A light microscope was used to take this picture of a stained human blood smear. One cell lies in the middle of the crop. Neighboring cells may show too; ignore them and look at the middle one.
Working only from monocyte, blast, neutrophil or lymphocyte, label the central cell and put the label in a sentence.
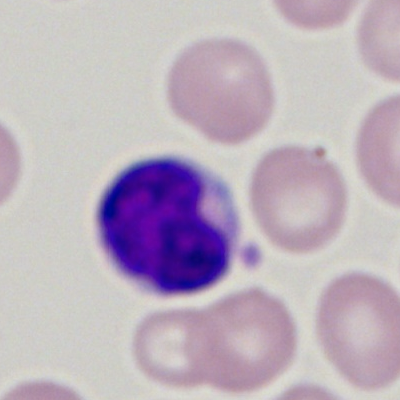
The target cell in the middle of the crop is a lymphocyte.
